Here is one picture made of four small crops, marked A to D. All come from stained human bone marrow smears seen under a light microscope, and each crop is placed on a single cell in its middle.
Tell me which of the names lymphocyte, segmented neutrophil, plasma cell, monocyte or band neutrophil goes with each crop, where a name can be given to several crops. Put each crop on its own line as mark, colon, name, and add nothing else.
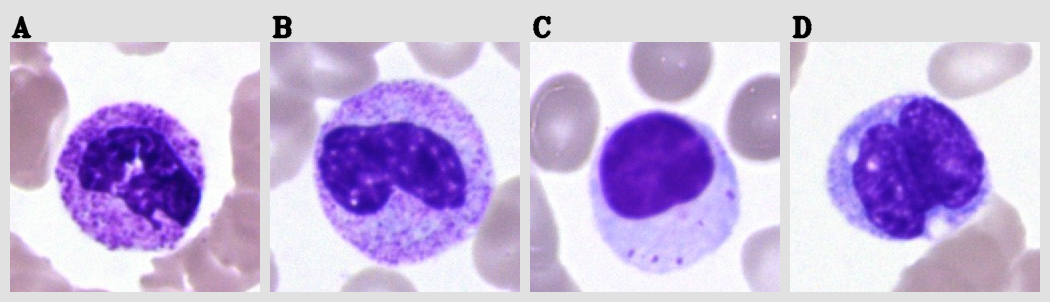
A: segmented neutrophil
B: band neutrophil
C: lymphocyte
D: monocyte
